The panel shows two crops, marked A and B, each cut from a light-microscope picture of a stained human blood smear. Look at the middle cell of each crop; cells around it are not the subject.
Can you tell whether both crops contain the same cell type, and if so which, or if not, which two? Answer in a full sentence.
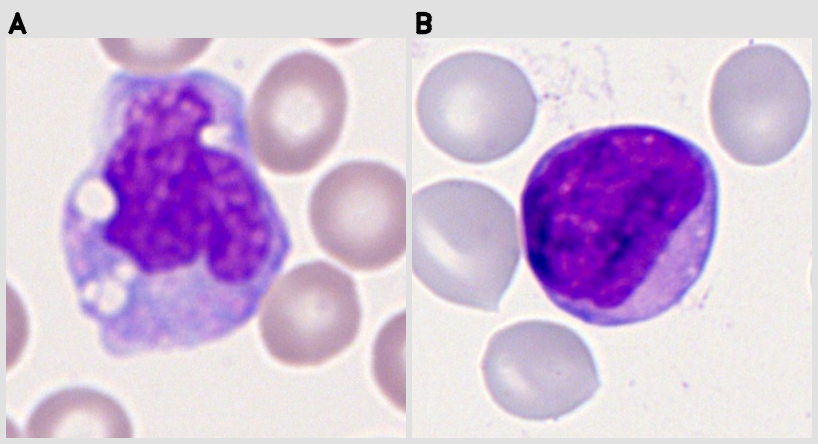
No, the central cell of crop A is a monocyte; that of crop B is a myeloblast.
